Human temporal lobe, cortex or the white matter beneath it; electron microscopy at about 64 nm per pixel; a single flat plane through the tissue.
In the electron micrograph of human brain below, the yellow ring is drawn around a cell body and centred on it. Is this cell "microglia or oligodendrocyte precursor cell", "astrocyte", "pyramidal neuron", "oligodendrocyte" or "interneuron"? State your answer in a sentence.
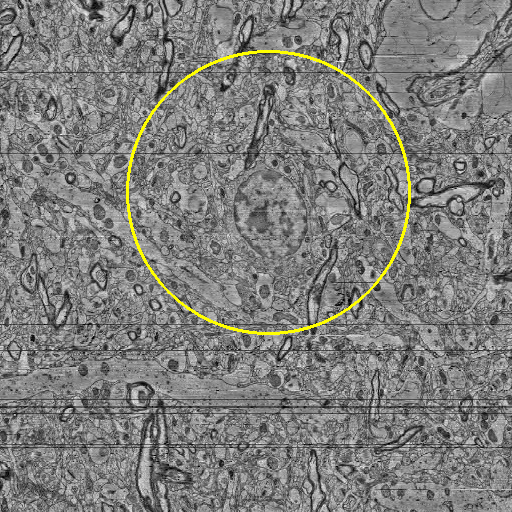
The cell in the middle of the ring is an oligodendrocyte.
